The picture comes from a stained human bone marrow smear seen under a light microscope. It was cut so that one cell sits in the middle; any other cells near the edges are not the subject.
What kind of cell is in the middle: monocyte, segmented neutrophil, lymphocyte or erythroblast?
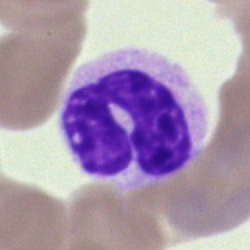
segmented neutrophil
